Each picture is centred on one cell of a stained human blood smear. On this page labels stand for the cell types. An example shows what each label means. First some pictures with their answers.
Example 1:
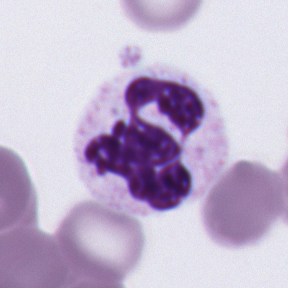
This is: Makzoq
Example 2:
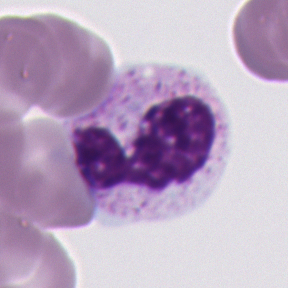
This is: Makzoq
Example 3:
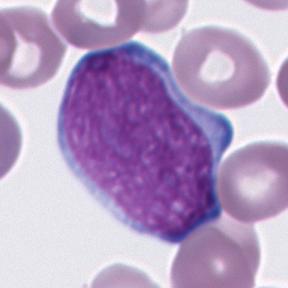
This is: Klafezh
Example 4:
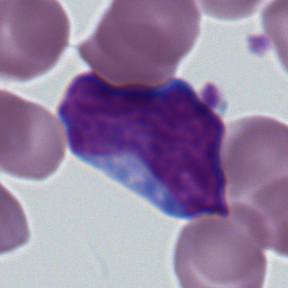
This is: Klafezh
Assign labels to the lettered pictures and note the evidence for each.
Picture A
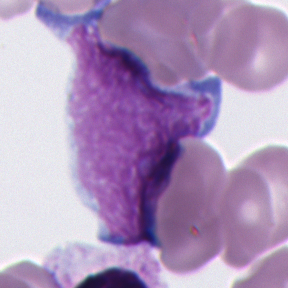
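Label: Klafezh. The nucleus is a single unlobed mass that fills most of the cell.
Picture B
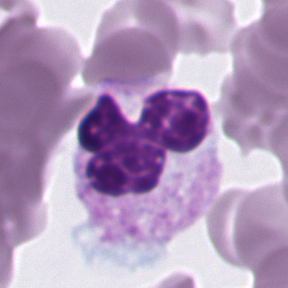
Label: Makzoq. The cytoplasm is plentiful and pale pinkish-lilac.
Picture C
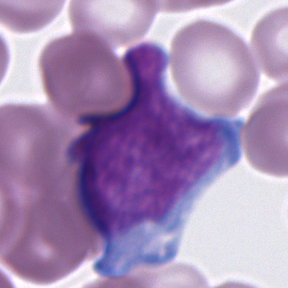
Label: Klafezh. The nucleus fills most of the cell.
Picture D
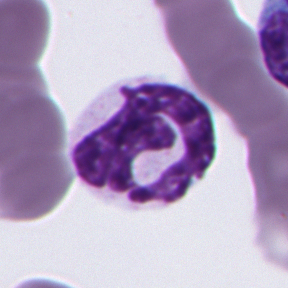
Label: Makzoq. The nucleus is a thick band curved into a near-ring around a pale central area.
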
